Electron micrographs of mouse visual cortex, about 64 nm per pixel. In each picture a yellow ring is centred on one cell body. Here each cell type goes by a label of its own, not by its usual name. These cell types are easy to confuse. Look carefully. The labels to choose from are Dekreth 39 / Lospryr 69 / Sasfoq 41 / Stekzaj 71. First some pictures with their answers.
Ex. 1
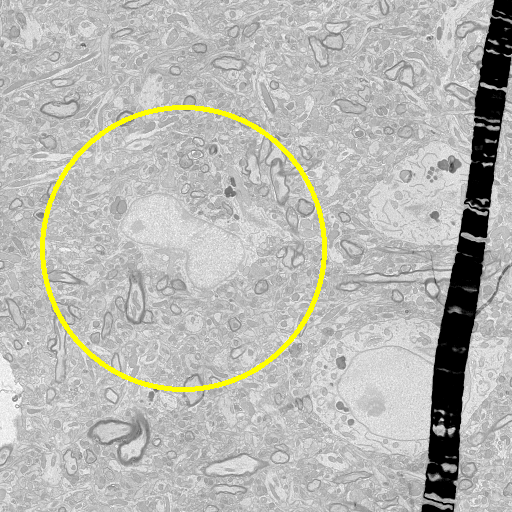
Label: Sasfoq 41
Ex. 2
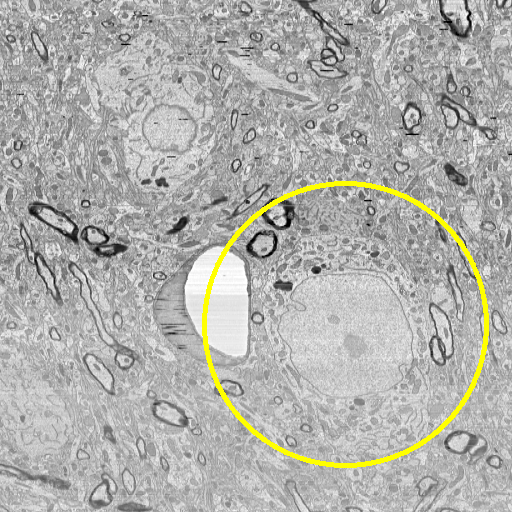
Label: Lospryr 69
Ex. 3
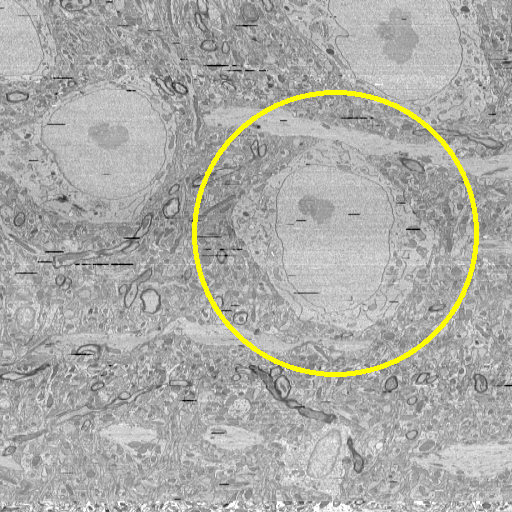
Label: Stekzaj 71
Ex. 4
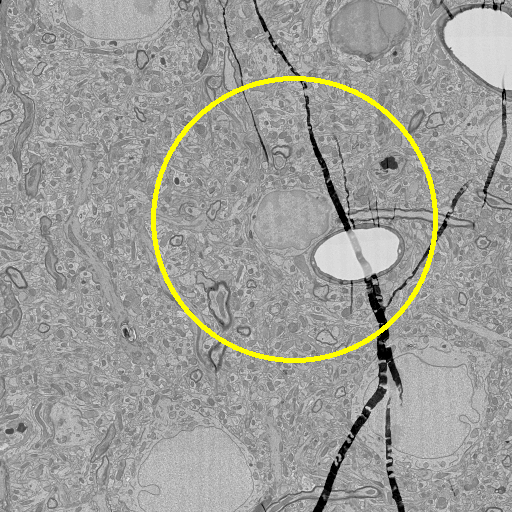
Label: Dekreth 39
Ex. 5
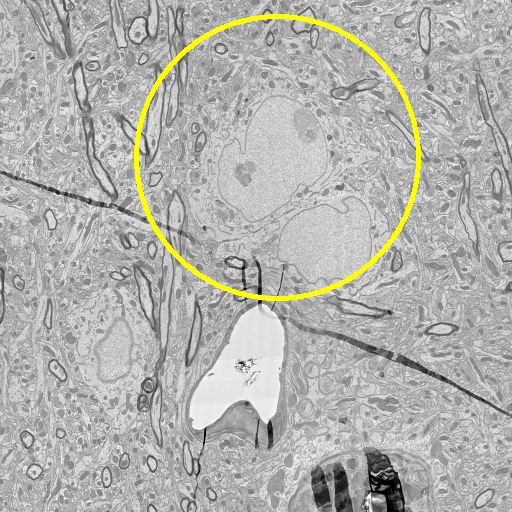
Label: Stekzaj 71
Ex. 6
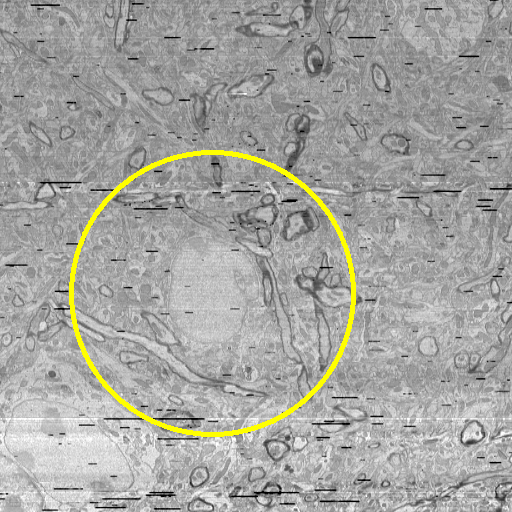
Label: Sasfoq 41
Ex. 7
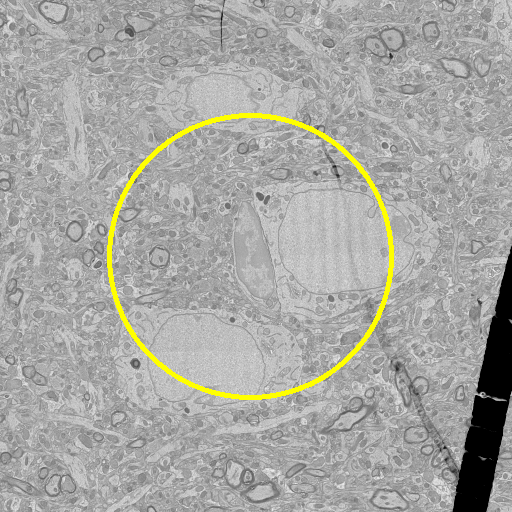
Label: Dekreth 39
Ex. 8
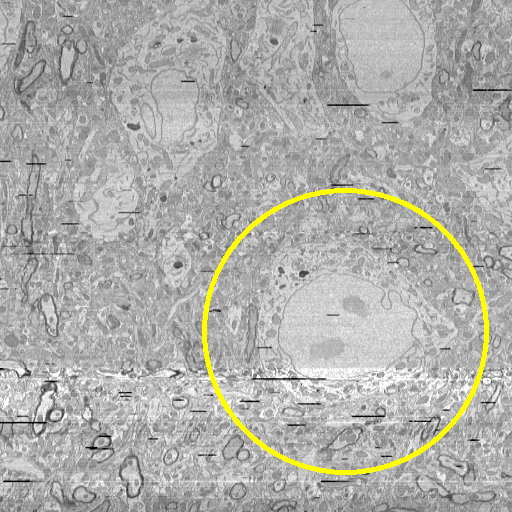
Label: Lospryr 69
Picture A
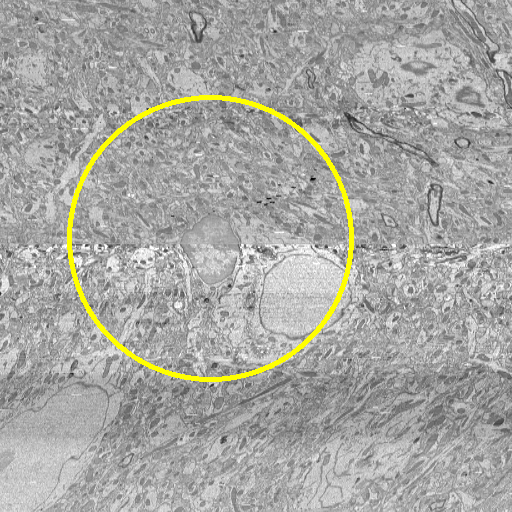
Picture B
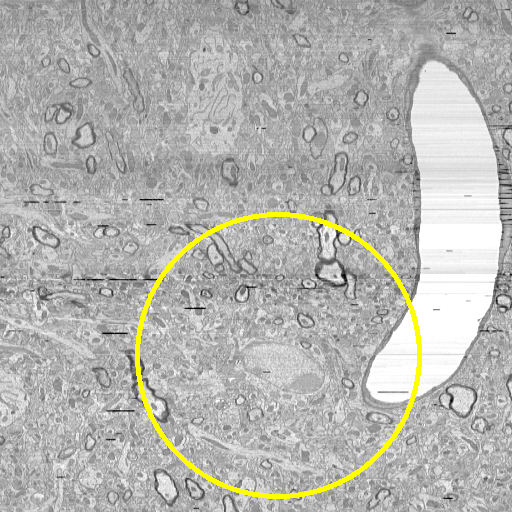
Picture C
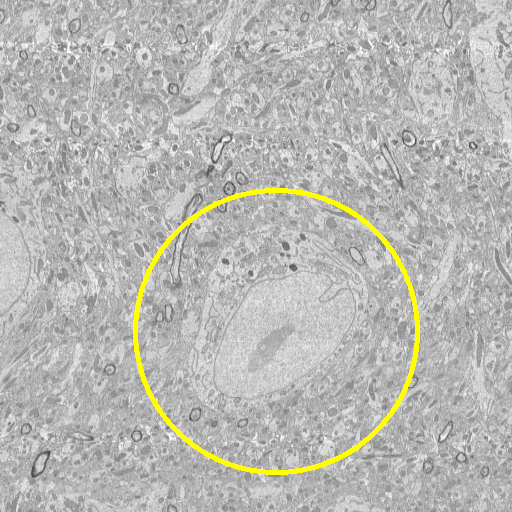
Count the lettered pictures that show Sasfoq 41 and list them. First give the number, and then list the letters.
1, namely B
